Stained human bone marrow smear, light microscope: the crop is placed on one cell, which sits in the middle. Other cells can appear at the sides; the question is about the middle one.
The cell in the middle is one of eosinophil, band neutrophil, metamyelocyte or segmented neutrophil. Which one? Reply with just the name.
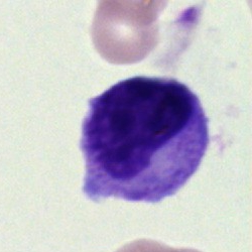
metamyelocyte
